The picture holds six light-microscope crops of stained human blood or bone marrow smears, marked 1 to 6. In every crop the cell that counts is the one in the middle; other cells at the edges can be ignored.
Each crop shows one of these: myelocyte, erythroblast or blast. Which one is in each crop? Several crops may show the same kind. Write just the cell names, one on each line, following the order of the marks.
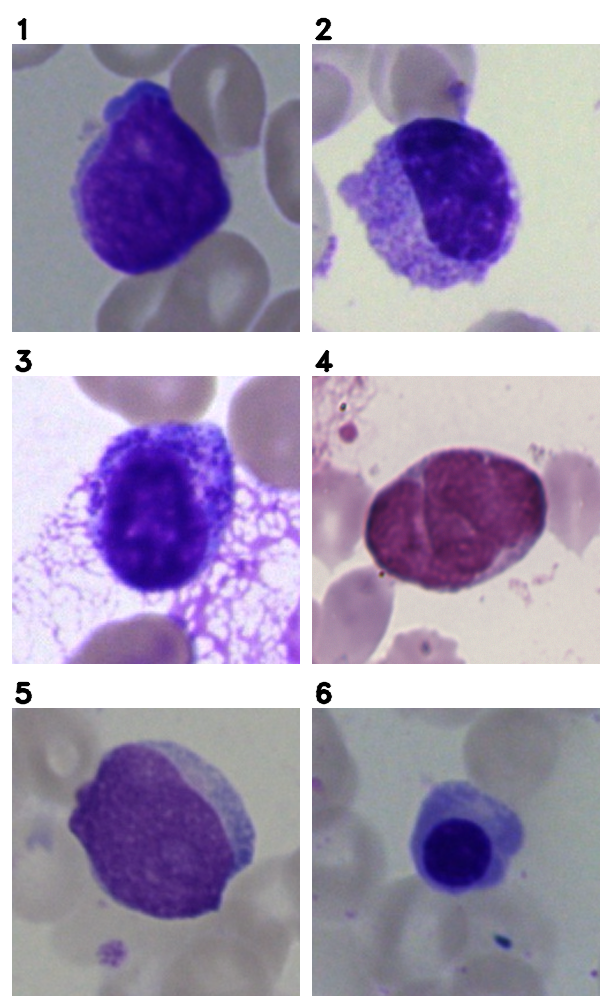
blast
myelocyte
myelocyte
blast
blast
erythroblast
